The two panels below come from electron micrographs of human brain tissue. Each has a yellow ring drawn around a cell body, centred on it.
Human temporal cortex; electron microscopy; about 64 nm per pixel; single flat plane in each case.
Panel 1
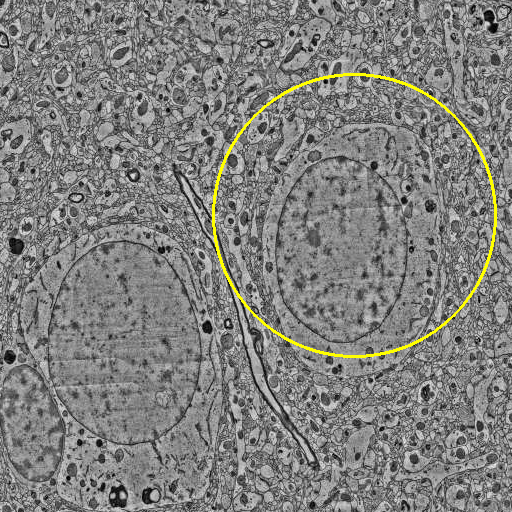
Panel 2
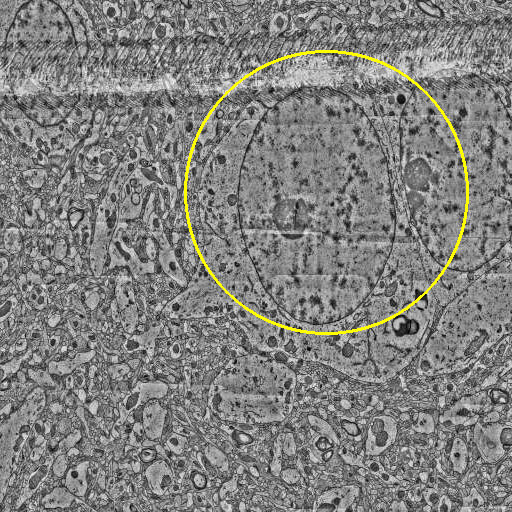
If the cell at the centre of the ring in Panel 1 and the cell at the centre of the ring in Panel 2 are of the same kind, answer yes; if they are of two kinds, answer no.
yes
